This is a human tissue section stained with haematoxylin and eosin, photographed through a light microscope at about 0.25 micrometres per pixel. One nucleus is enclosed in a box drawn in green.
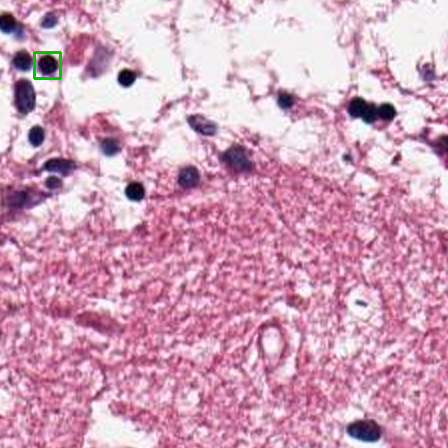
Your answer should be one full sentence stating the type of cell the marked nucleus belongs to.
The marked nucleus is one that belongs to a cerebellar granule cell.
